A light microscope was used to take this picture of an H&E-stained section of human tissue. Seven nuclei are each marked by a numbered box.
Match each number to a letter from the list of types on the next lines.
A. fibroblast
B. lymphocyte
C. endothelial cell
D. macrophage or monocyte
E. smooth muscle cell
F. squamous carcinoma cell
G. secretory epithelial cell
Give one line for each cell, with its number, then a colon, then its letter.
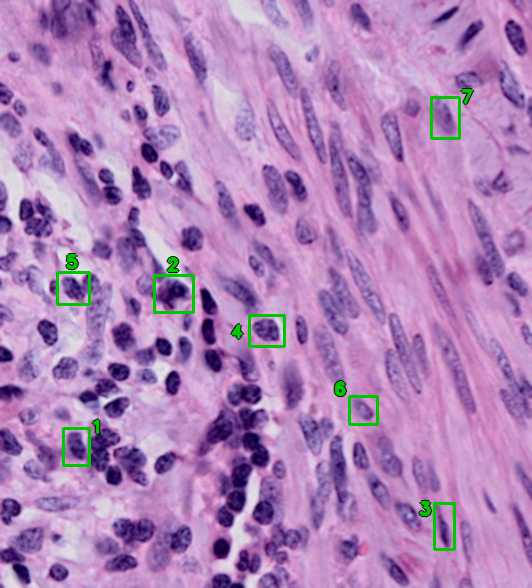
1: B
2: B
3: E
4: B
5: B
6: E
7: E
